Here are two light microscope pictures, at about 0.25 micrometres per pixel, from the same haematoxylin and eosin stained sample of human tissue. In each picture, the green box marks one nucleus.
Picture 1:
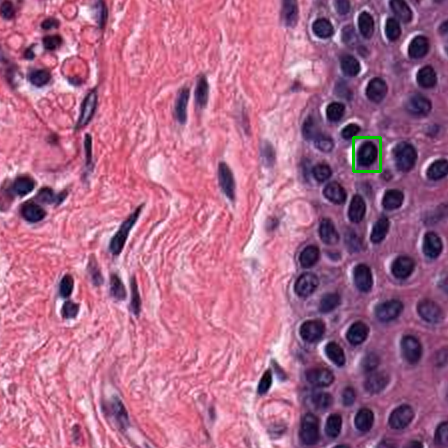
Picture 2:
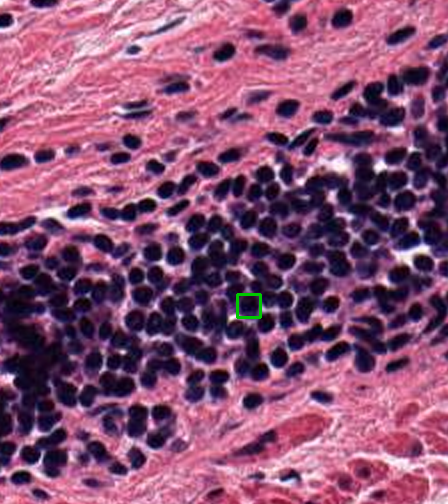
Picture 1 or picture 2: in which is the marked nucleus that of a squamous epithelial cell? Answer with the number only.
1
